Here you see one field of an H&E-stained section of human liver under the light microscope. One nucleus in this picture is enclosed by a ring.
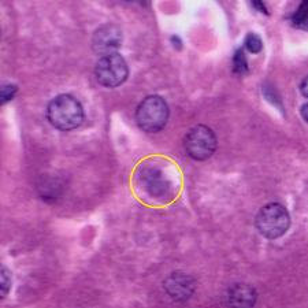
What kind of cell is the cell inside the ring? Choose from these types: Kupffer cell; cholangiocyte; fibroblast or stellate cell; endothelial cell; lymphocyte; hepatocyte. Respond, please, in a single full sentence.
The expected answer is simply that the cell inside the ring is a Kupffer cell.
